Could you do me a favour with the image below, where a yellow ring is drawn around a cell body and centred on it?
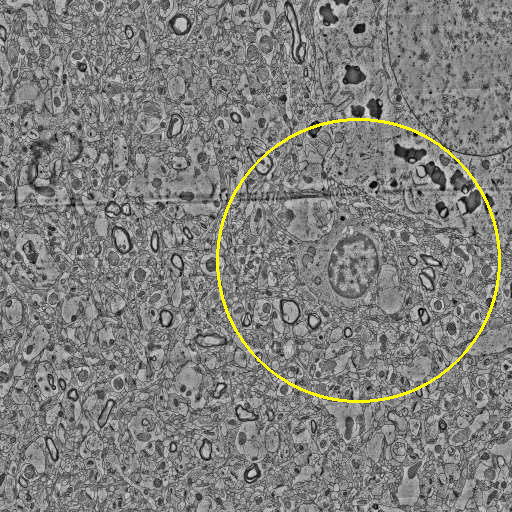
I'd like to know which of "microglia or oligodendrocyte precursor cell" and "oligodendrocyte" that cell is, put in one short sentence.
The cell at the ring's centre is an oligodendrocyte.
